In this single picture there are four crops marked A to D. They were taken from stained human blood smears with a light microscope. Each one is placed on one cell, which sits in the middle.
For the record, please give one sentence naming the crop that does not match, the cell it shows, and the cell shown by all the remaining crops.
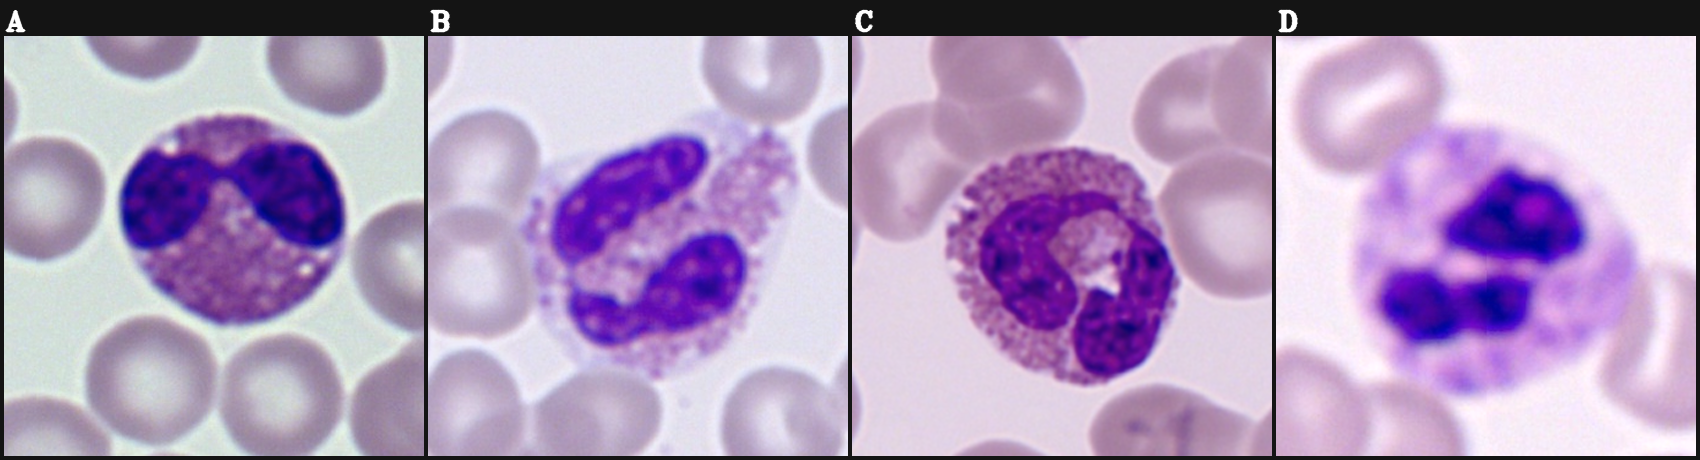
Crop D does not match the others; it shows a neutrophil, and they show eosinophils.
